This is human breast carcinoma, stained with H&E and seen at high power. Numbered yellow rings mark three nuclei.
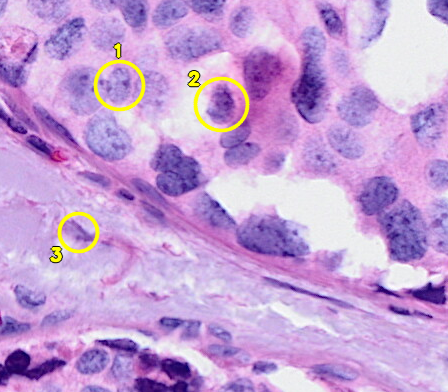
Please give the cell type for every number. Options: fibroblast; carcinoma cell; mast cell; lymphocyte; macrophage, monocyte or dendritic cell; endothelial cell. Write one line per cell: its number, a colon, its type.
1: carcinoma cell
2: carcinoma cell
3: fibroblast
